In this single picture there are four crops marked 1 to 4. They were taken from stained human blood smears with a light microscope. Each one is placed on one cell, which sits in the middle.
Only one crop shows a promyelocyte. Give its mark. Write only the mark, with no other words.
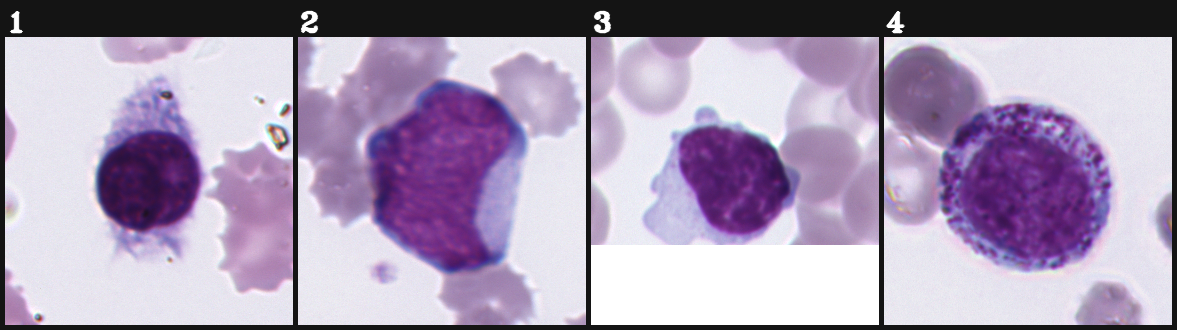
4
